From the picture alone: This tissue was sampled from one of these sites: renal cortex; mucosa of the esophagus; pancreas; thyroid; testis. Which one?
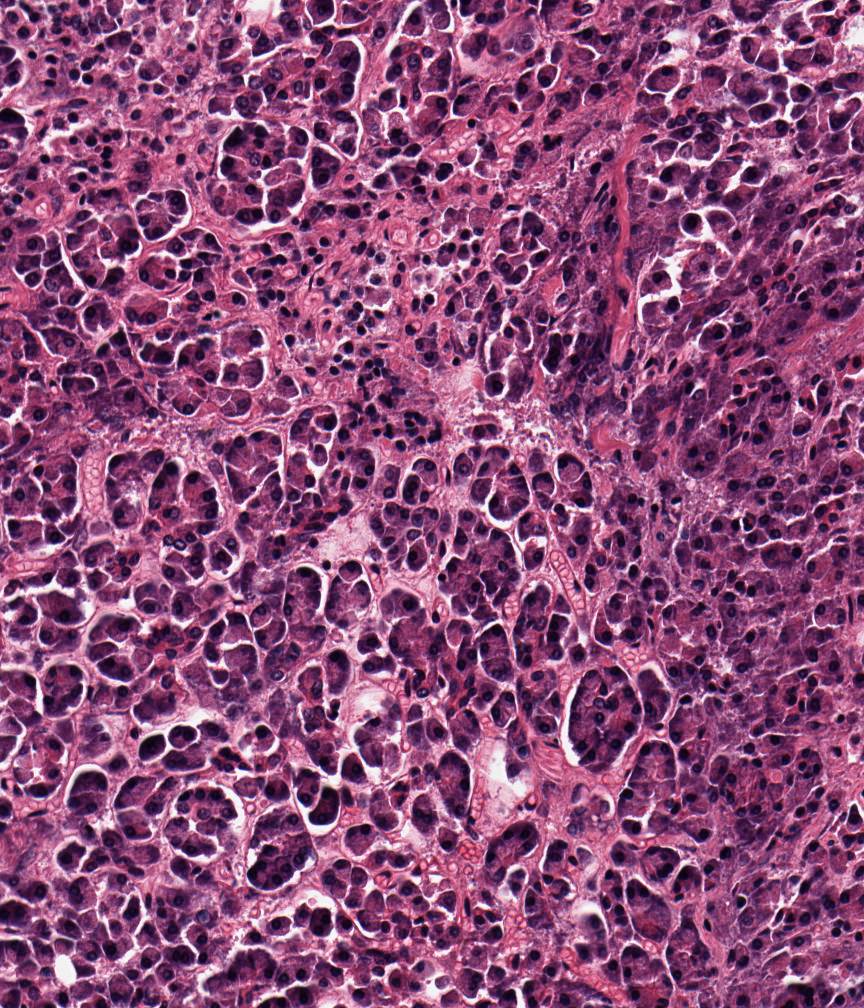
pancreas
